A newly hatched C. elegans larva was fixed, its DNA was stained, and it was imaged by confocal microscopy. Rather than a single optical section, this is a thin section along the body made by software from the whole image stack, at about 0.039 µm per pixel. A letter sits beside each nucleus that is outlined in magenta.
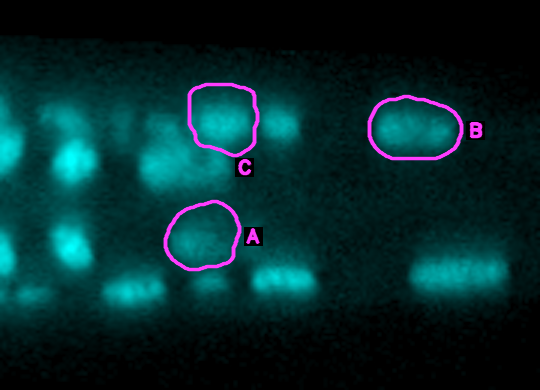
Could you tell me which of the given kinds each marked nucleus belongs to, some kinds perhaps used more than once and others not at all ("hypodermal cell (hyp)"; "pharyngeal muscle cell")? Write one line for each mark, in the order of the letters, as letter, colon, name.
A: pharyngeal muscle cell
B: hypodermal cell (hyp)
C: hypodermal cell (hyp)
